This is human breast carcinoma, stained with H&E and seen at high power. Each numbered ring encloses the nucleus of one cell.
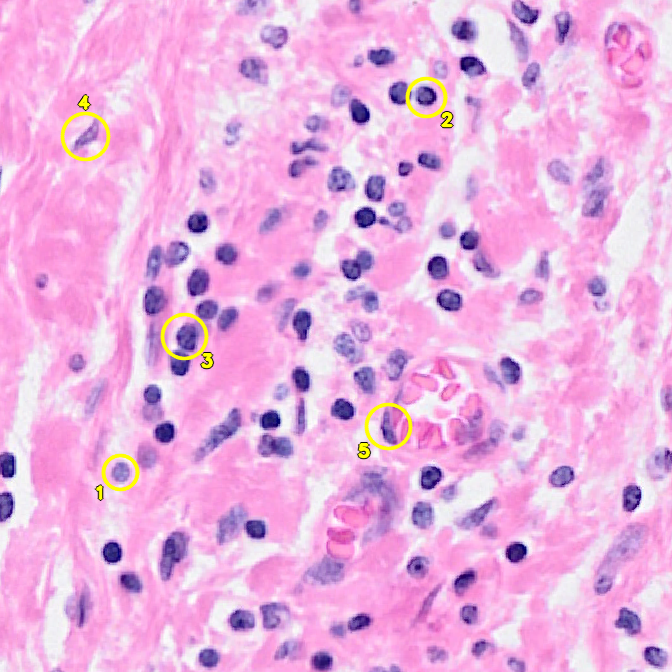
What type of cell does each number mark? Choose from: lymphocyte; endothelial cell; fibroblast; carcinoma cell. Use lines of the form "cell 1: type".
cell 1: lymphocyte
cell 2: lymphocyte
cell 3: lymphocyte
cell 4: fibroblast
cell 5: endothelial cell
